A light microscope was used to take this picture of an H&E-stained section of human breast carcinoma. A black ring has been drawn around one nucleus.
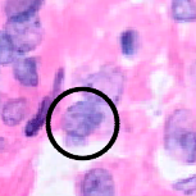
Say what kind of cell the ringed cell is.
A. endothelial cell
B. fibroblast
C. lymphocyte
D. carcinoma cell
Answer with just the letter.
D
